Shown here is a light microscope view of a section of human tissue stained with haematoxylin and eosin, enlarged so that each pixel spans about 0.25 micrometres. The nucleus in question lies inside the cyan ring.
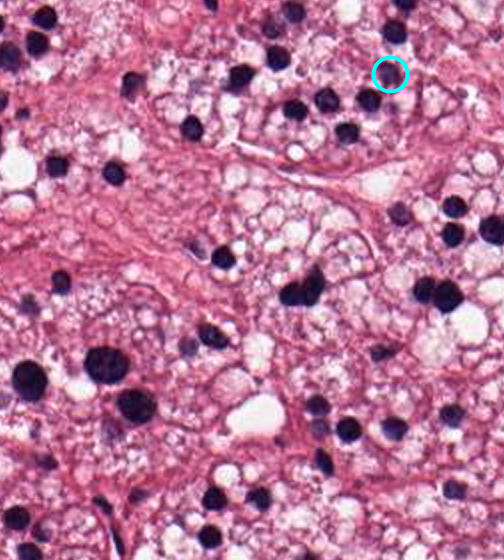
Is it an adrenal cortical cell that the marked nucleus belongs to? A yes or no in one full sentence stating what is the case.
Yes, the marked nucleus is the nucleus belonging to an adrenal cortical cell.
